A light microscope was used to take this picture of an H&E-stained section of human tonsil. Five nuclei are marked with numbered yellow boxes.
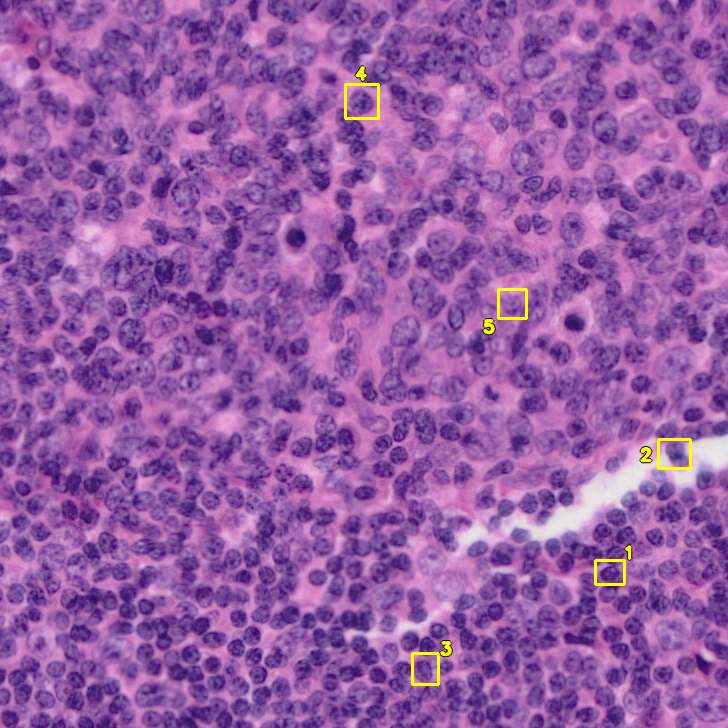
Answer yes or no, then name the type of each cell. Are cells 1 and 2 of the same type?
Yes, both are small lymphocytes.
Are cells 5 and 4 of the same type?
Yes, both are proliferating B cells.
